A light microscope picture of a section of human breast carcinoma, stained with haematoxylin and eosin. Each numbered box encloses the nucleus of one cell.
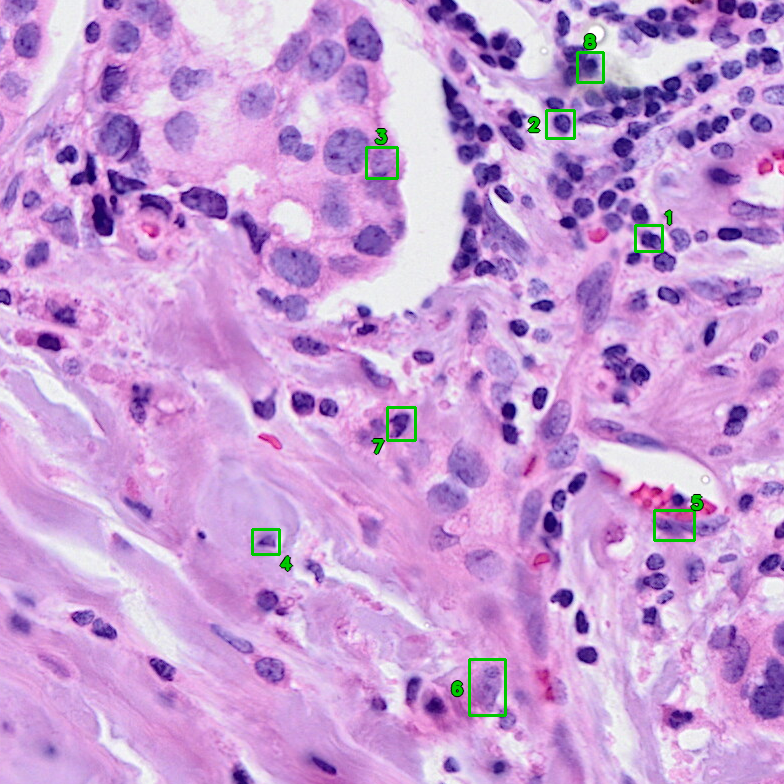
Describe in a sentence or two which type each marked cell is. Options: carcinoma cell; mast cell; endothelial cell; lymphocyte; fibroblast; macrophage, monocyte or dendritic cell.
Cell 1 is a lymphocyte, cell 2 is a lymphocyte, cell 3 is a carcinoma cell, cell 4 is a fibroblast, cell 5 is an endothelial cell, cell 6 is a fibroblast, cell 7 is a lymphocyte and cell 8 is a lymphocyte.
